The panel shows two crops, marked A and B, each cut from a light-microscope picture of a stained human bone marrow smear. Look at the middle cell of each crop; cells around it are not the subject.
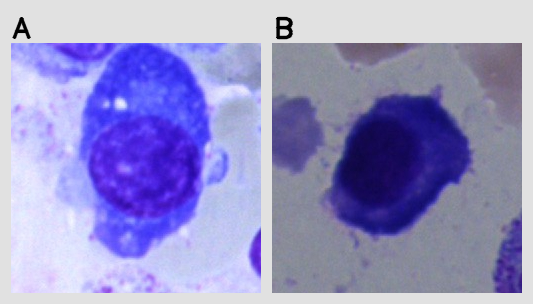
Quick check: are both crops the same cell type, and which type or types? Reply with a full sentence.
Yes, the cells centred in the two crops are both plasma cells.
